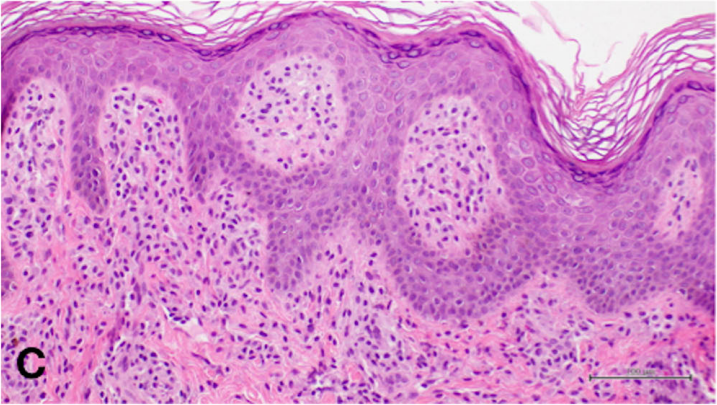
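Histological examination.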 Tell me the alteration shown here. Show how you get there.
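The dermal papillae and upper dermis are packed with closely set cells. The infiltrate fills the spaces between the rete ridges right up under the epidermis.
Answer: dense cellular infiltrate occupying the superficial dermis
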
